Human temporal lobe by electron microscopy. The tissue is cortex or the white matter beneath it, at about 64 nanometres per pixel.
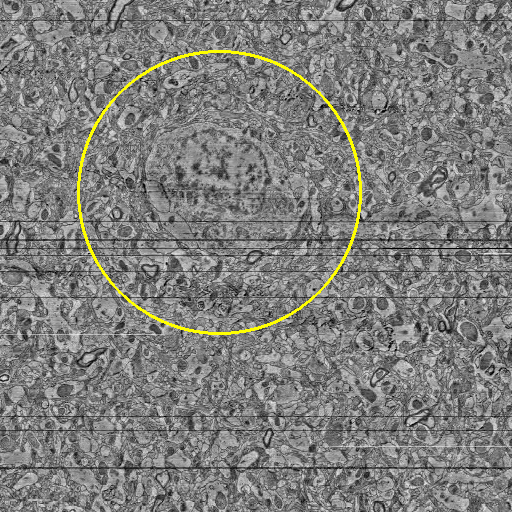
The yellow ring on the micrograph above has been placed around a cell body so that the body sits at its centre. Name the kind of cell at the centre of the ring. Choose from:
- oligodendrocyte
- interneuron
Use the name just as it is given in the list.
interneuron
